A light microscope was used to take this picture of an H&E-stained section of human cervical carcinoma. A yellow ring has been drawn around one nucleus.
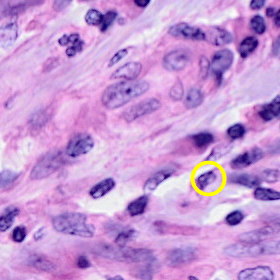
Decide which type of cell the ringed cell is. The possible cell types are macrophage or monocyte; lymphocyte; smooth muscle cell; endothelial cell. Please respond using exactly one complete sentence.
The expected answer is simply that the ringed cell is a lymphocyte.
